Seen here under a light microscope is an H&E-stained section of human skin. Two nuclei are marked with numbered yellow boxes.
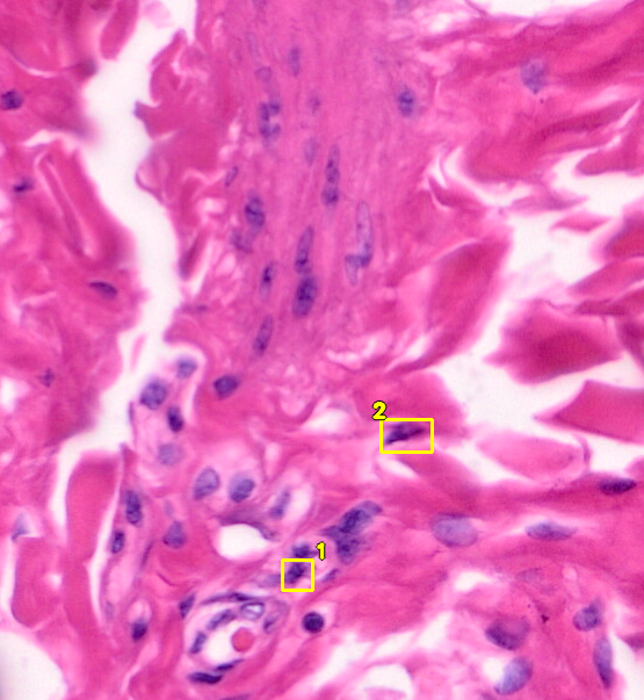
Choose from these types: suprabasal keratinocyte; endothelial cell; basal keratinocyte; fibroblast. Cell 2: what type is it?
fibroblast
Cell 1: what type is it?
endothelial cell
